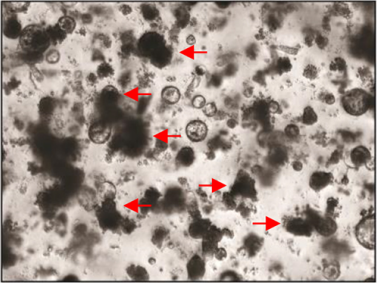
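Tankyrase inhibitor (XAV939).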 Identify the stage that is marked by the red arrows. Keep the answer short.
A: Dead/dying organoids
